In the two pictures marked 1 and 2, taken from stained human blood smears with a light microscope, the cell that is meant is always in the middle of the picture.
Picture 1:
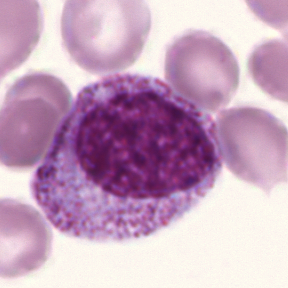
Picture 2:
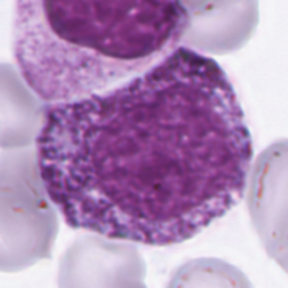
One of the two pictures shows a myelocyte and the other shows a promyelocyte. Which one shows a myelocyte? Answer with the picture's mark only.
1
